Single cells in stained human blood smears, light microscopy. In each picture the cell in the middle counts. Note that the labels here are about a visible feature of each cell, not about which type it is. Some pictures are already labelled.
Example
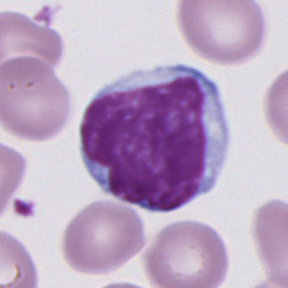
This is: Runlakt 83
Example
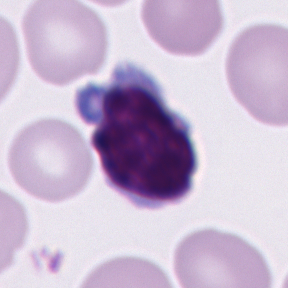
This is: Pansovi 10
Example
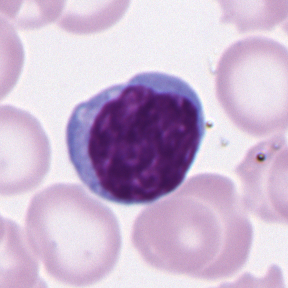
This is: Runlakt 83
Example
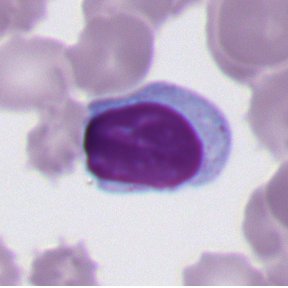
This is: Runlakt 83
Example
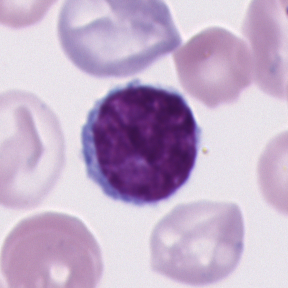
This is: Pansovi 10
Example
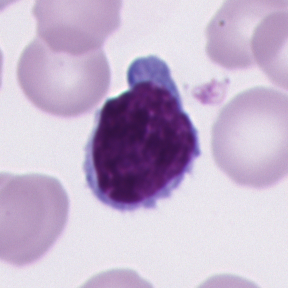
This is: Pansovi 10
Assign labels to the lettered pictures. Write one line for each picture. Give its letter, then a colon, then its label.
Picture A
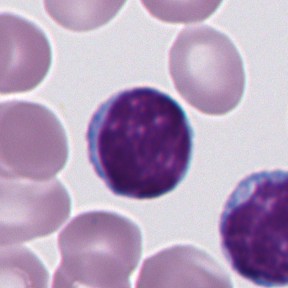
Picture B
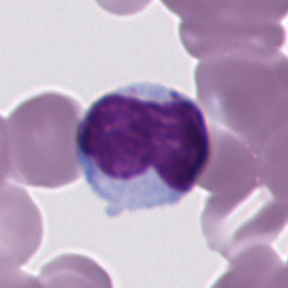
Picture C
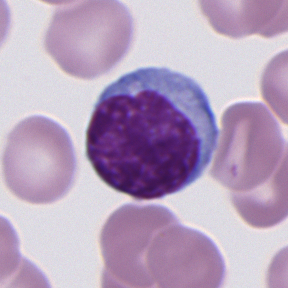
A: Runlakt 83
B: Pansovi 10
C: Runlakt 83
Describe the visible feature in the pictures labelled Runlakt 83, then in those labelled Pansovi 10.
Seen in Runlakt 83: smooth outline; seen in Pansovi 10: ragged outline or projections.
